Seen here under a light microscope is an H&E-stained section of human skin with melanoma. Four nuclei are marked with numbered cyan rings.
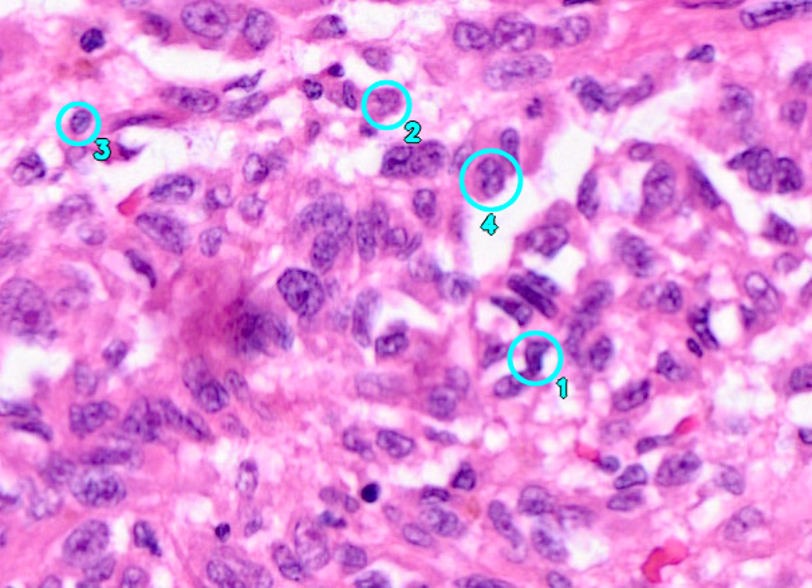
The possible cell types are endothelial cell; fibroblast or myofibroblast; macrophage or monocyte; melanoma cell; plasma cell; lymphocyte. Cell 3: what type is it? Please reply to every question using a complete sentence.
The nucleus labelled 3 belongs to a lymphocyte.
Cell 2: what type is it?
Among the marked nuclei, number 2 belongs to a melanoma cell.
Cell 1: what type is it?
The cell that bears the number 1 is a melanoma cell.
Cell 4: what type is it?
Identified as a melanoma cell is the cell bearing the number 4.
